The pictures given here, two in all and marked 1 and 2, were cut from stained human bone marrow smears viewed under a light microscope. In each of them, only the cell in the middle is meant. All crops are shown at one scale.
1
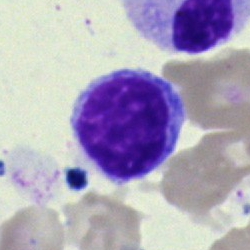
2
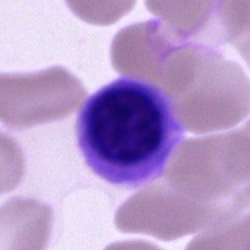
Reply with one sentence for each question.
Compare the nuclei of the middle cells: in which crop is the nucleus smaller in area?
The nucleus in crop 2 is smaller; the one in crop 1 has about 1.5 times its area.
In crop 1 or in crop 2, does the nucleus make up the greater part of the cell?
In crop 1 the nucleus takes up the larger part of its cell.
